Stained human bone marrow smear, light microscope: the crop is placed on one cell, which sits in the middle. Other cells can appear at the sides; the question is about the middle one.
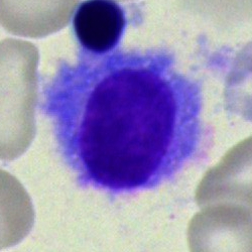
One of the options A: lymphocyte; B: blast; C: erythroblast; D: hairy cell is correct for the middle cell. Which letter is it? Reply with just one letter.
D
